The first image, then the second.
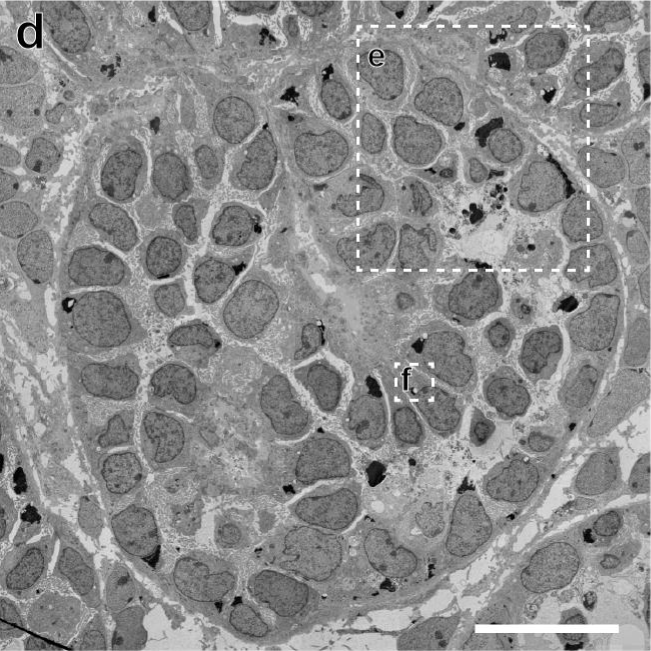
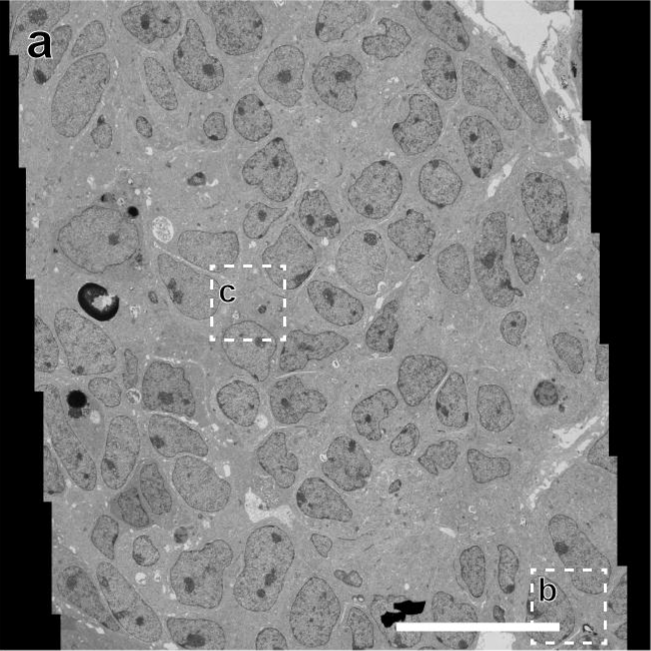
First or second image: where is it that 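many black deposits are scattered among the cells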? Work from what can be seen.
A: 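First image: numerous black irregular deposits lie between and beside nuclei. Second image: only a few black deposits are seen in the tissue. The answer: the first image.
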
